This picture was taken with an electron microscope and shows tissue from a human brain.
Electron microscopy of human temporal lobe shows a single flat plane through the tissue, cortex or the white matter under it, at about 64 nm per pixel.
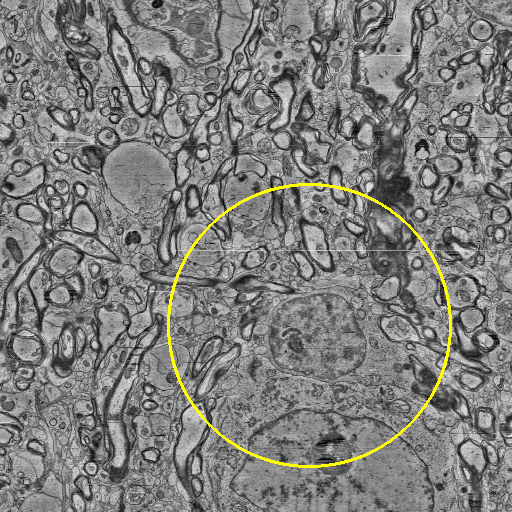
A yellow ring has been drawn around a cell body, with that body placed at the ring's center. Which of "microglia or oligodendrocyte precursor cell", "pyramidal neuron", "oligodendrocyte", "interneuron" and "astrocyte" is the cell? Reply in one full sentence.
In this picture, an oligodendrocyte is the cell at the center of the yellow ring.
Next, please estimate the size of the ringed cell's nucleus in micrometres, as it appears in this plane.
About 6 micrometres across, as seen in this plane.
